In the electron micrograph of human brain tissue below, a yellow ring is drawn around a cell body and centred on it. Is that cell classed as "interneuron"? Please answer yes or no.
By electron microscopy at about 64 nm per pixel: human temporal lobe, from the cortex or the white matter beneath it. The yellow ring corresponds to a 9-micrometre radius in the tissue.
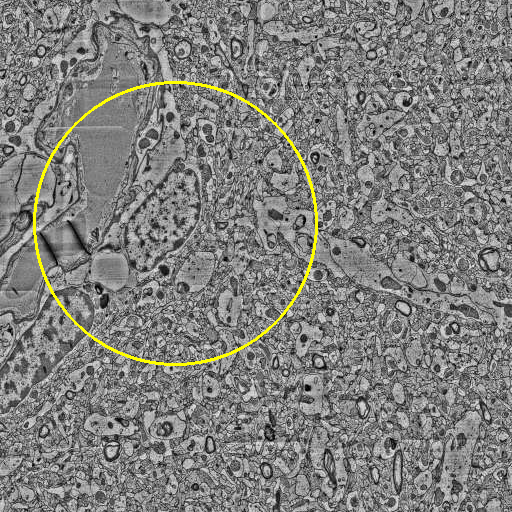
no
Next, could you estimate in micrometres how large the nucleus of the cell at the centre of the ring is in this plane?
About 7 by 4 micrometres; in this plane the nucleus is clearly longer than it is wide.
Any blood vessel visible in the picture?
Yes, there is a blood vessel.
